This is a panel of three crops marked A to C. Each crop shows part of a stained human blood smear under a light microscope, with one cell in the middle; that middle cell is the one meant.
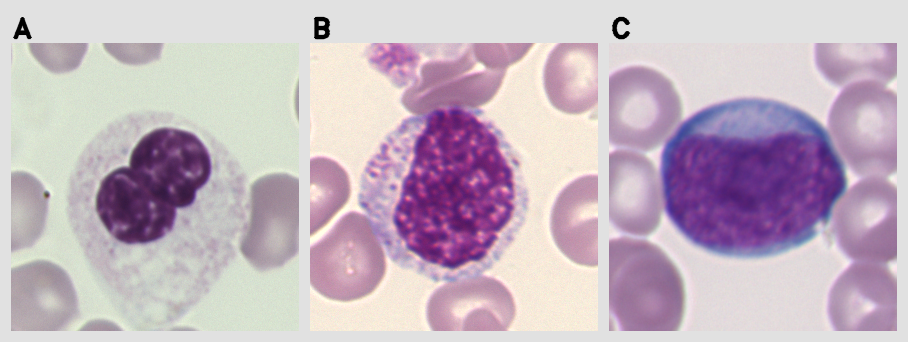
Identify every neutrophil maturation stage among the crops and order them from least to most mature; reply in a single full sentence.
Ranked by maturation stage, earliest first, the crops read crop C (a myeloblast), crop B (a myelocyte) and crop A (a segmented neutrophil).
